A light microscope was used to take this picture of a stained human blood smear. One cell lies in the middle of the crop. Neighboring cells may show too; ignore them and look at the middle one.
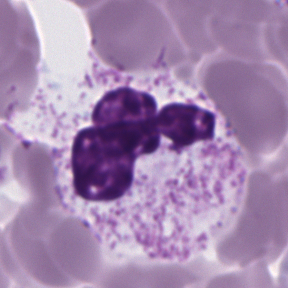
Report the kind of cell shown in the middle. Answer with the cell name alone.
segmented neutrophil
